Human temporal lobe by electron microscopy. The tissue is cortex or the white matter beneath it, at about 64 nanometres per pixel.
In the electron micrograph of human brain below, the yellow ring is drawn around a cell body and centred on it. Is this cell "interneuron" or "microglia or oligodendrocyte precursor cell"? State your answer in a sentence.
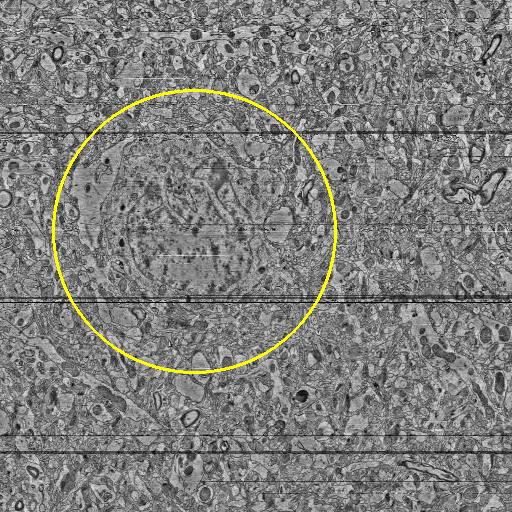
The cell in the middle of the ring is an interneuron.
